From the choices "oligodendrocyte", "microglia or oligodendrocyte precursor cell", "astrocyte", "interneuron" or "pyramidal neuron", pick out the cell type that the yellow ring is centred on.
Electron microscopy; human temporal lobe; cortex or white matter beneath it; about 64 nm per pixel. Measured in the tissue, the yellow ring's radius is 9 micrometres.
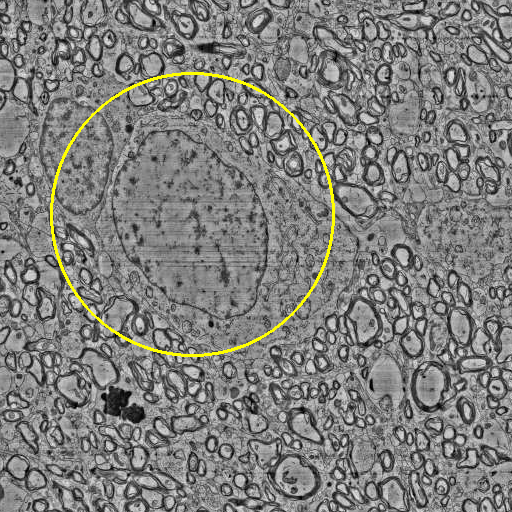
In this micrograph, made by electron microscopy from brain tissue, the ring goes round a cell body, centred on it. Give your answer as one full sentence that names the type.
The yellow ring is centred on a pyramidal neuron, whose cell body it encircles in the picture.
